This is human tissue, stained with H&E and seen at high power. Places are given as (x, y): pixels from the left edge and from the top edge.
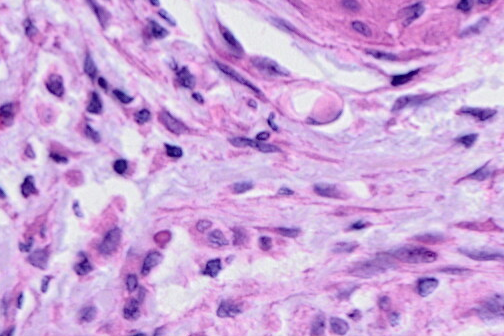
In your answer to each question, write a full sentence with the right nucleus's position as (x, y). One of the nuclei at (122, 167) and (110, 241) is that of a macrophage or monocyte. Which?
The nucleus whose cell is a macrophage or monocyte is the one at (110, 241).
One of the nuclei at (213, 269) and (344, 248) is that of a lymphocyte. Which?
The nucleus at (213, 269) is the one that belongs to a lymphocyte.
